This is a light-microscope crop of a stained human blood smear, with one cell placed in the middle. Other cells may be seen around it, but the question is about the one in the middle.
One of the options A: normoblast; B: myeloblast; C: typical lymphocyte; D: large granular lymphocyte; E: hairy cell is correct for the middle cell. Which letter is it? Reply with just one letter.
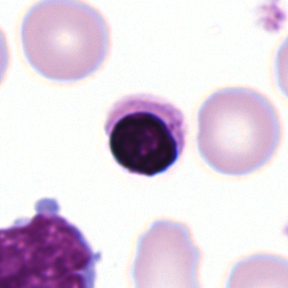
A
